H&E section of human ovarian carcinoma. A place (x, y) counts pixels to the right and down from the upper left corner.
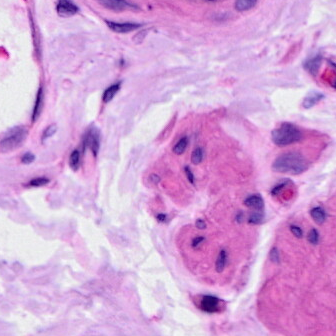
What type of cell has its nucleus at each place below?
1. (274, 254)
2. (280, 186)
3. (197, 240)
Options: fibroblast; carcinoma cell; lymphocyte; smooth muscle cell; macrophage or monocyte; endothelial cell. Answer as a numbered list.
1. smooth muscle cell
2. endothelial cell
3. smooth muscle cell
